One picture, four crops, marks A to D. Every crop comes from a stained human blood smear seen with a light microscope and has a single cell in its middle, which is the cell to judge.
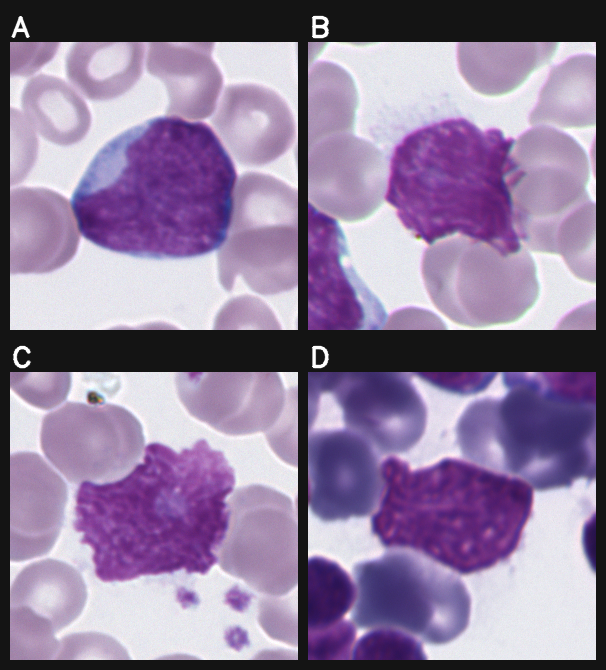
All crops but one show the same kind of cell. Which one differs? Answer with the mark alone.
A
